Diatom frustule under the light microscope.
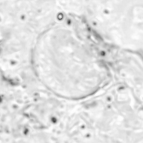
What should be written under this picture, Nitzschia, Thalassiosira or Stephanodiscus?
Stephanodiscus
